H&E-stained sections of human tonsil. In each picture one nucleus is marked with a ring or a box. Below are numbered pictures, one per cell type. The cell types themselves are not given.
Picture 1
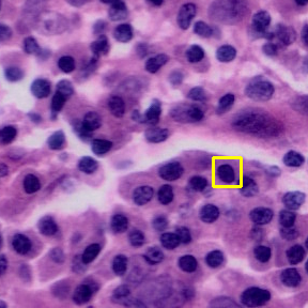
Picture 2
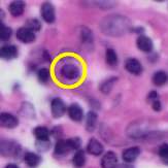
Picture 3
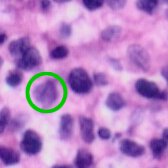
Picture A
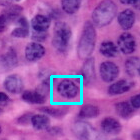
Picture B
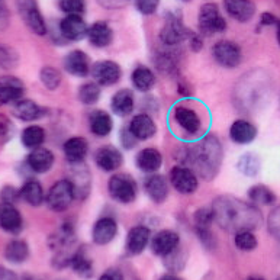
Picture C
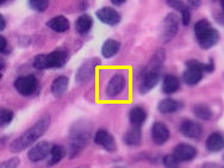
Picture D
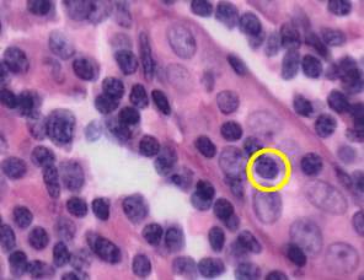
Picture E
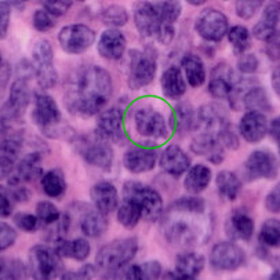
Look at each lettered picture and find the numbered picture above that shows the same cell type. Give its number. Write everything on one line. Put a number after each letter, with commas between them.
A 1, B 2, C 2, D 2, E 3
